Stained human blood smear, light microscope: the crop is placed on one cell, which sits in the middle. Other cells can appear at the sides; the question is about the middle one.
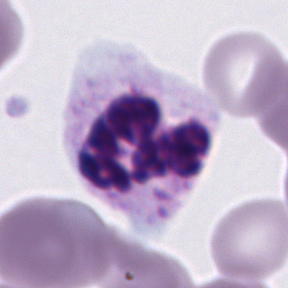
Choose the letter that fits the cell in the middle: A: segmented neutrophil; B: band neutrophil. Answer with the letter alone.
A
